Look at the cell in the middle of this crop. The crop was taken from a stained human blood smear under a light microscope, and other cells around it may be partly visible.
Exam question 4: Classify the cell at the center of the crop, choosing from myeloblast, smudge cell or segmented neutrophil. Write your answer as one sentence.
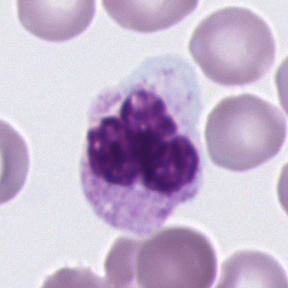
To answer, the cell in the center of the crop is a segmented neutrophil.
